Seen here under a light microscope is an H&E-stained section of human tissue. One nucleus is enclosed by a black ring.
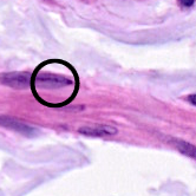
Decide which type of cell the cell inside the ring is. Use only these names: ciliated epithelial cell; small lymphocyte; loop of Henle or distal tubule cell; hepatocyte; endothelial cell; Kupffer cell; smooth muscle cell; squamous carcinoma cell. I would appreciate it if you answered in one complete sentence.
In this tissue sample, the cell inside the ring is a smooth muscle cell.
